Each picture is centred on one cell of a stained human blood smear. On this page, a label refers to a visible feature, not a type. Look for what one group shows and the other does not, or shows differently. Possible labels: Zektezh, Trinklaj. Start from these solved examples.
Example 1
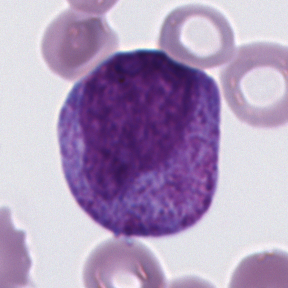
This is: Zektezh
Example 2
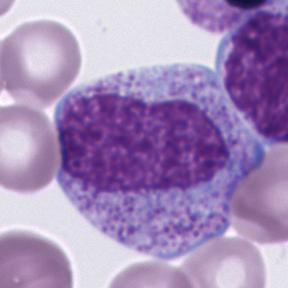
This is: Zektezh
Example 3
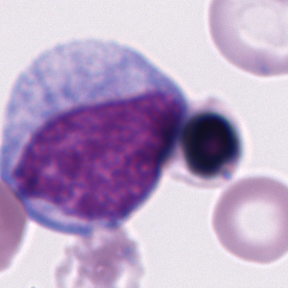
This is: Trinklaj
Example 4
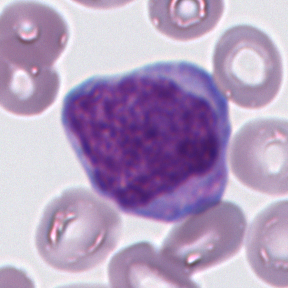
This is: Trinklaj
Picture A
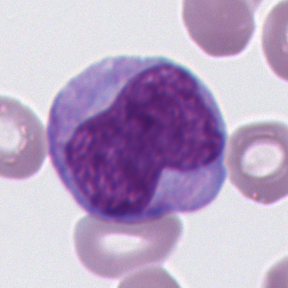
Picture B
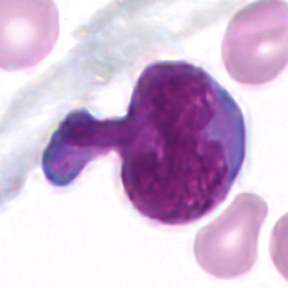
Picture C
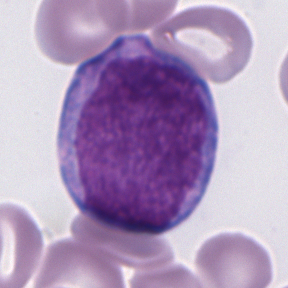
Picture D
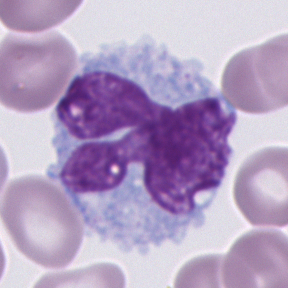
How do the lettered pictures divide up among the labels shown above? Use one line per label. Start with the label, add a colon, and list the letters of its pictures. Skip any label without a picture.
Zektezh: D
Trinklaj: A, B, C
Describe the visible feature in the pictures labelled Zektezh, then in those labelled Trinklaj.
Zektezh, many visible granules; Trinklaj, no visible granules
